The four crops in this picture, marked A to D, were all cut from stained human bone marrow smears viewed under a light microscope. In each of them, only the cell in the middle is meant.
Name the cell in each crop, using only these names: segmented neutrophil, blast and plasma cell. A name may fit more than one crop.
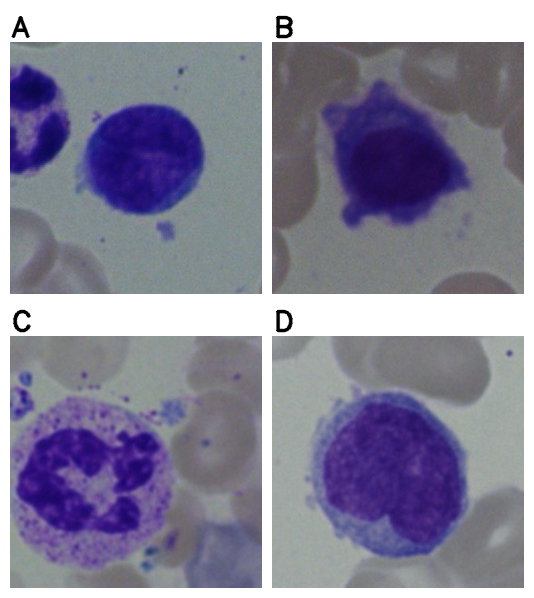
A: blast
B: plasma cell
C: segmented neutrophil
D: blast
